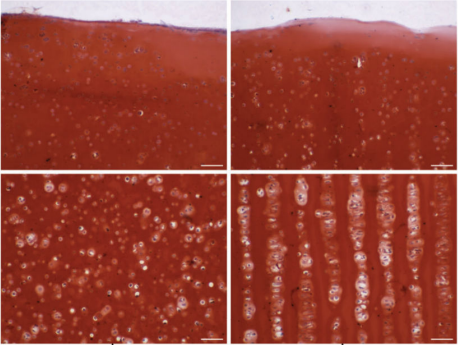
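Four views of cartilage-like tissue with an even deep red matrix in which rounded chondrocytes sit in pale, clear lacunae. Near the tissue edge, at the top, the cells are sparse and scattered without order under a smooth surface. In the center of one sample the cells lie randomly, singly or in small clusters, while in the other they are stacked one above another in long vertical columns separated by bands of cell-free red matrix, an arrangement reminiscent of the columnar deep zone of articular cartilage. The matrix throughout is abundant and strongly red.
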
